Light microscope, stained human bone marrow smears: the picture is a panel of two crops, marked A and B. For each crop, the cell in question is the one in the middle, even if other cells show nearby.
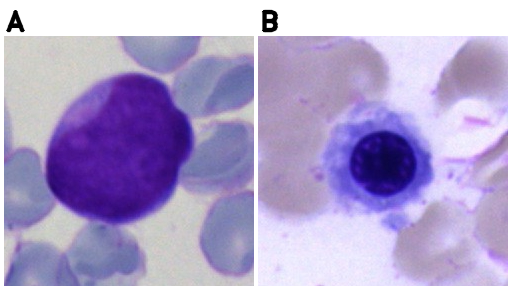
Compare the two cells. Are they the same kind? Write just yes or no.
no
